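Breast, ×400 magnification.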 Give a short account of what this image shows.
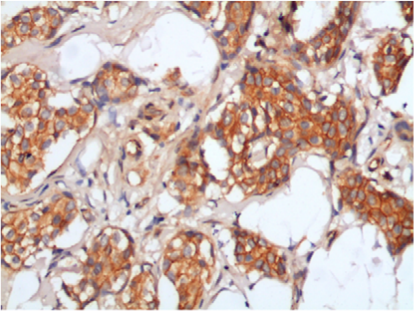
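This field shows clusters and nests of carcinoma cells lying in loose, pale stroma with many clear spaces. The tumour cells are stained strongly brown, with the colour outlining cell borders and filling the cytoplasm. Their nuclei are round to oval, pale blue, and have small nucleoli. The cell nests have irregular outlines and vary in size. The intervening stroma is only faintly tinted and holds scattered small nuclei.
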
